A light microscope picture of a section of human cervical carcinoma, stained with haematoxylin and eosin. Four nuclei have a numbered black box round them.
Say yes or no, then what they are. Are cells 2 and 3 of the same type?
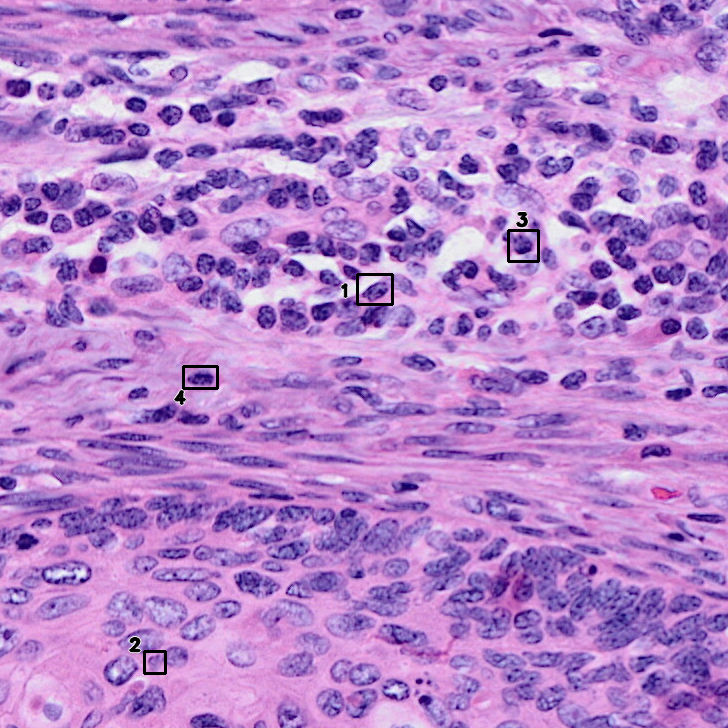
No, the cell numbered 2 is a squamous carcinoma cell, and the cell numbered 3 is a lymphocyte.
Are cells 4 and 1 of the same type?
Yes, both cells 4 and 1 are lymphocytes.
